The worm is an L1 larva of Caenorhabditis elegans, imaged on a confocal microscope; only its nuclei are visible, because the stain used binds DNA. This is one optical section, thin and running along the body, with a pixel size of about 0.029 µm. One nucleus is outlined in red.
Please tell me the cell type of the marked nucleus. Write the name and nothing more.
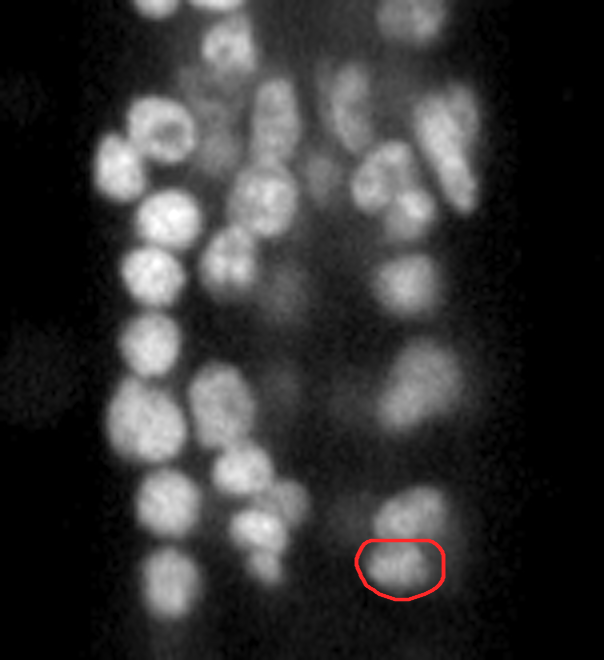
valve cell of the gut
